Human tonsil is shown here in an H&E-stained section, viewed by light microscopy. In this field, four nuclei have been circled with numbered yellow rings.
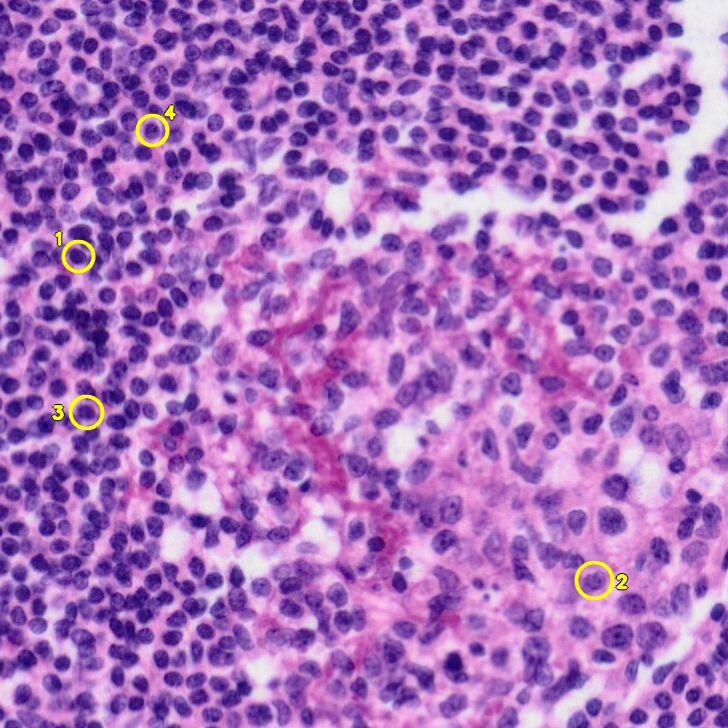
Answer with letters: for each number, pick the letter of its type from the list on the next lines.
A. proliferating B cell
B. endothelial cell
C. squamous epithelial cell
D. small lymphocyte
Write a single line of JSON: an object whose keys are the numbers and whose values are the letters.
{"1": "D", "2": "A", "3": "D", "4": "D"}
